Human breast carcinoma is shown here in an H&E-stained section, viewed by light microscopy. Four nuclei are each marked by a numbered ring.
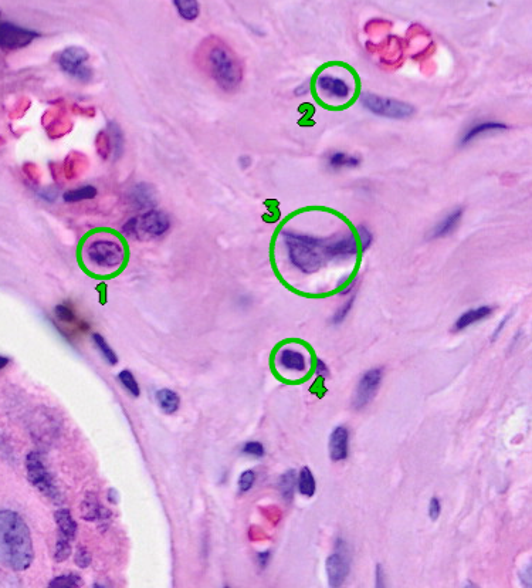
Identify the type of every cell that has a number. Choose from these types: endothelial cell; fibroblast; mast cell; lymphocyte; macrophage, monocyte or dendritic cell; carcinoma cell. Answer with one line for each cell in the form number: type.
1: mast cell
2: lymphocyte
3: fibroblast
4: lymphocyte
